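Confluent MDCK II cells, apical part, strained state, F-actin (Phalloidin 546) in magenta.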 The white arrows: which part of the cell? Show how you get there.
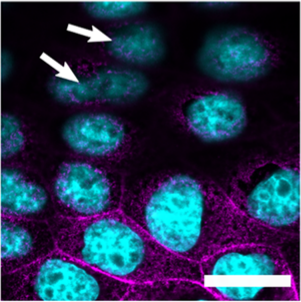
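The arrows point to sparse faint magenta dots at the cell surface above nuclei.
Hence: microvilli.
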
